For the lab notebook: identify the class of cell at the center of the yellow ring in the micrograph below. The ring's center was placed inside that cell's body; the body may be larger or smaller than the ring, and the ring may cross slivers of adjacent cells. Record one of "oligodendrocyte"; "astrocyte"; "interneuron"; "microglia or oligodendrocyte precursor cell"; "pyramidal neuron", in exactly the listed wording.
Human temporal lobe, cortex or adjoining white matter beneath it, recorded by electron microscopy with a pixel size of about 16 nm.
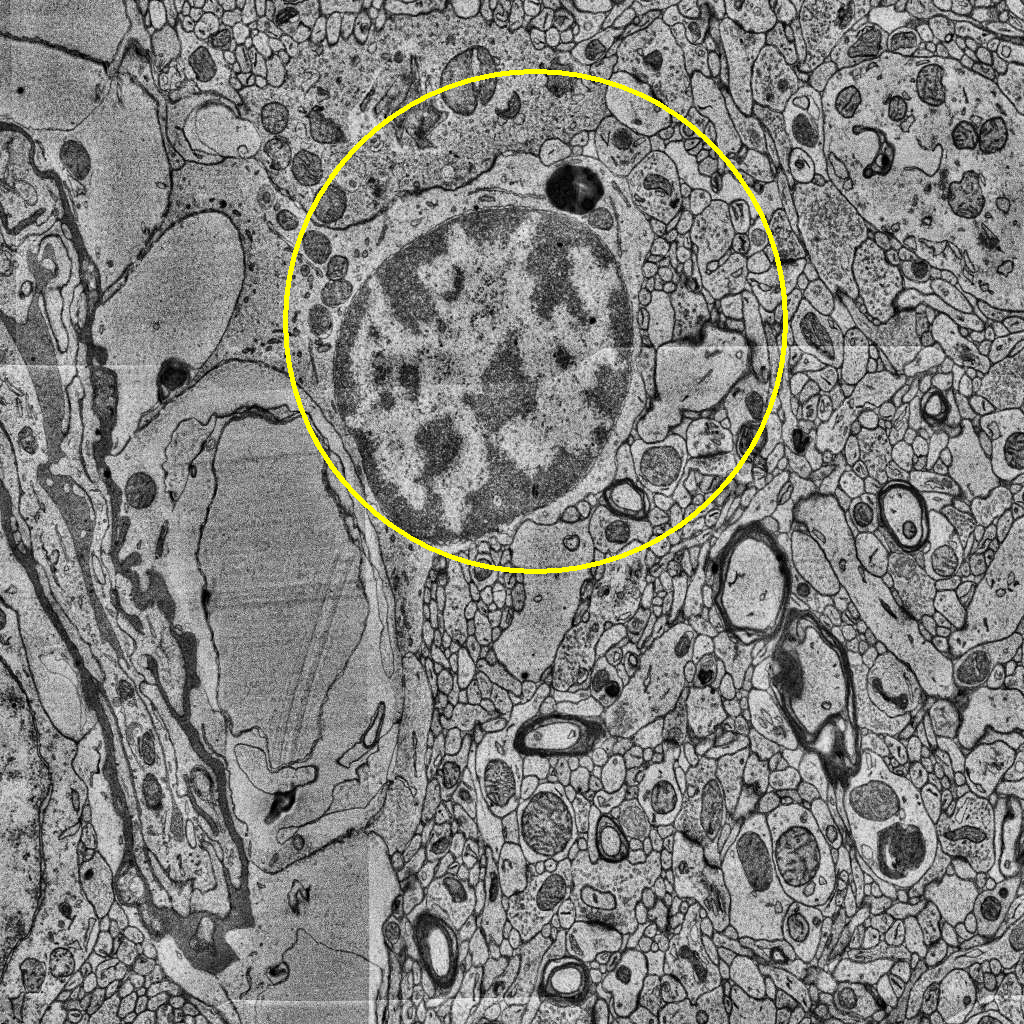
microglia or oligodendrocyte precursor cell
